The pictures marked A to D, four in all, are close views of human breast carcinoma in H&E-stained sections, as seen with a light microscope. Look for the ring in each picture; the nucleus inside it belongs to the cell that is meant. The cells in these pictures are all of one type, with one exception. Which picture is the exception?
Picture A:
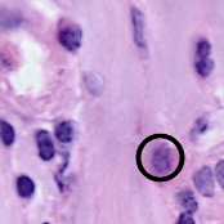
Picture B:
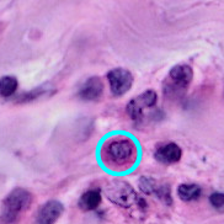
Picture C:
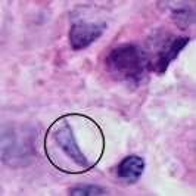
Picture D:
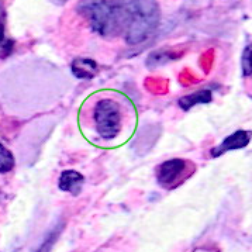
C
